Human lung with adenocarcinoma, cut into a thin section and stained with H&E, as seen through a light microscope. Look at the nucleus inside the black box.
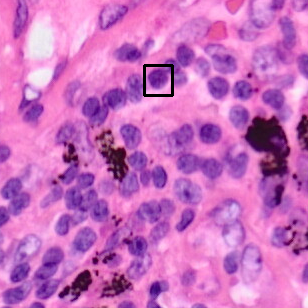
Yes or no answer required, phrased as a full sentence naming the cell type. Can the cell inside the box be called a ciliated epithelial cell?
No, the cell inside the box qualifies as a lymphocyte and does not qualify as a ciliated epithelial cell.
